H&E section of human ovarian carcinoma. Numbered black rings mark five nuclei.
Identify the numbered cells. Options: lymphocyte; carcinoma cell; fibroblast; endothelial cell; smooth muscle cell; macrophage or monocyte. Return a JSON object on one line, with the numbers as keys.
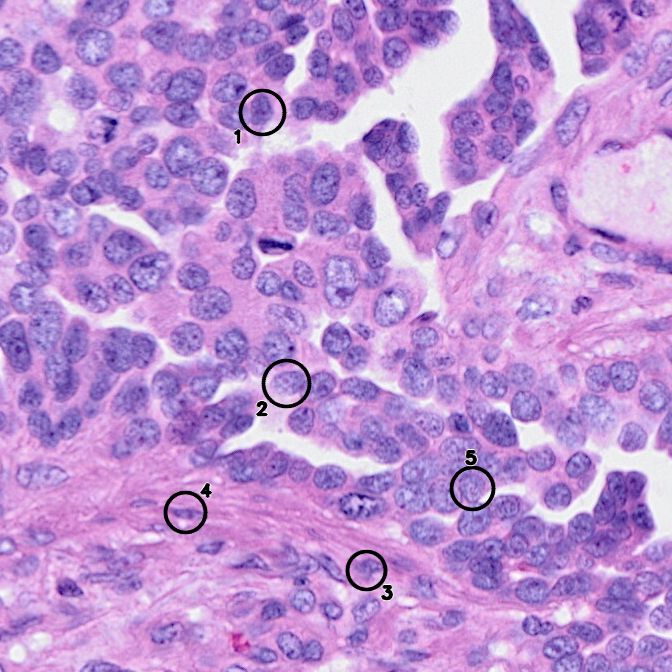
{"1": "carcinoma cell", "2": "carcinoma cell", "3": "fibroblast", "4": "fibroblast", "5": "carcinoma cell"}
